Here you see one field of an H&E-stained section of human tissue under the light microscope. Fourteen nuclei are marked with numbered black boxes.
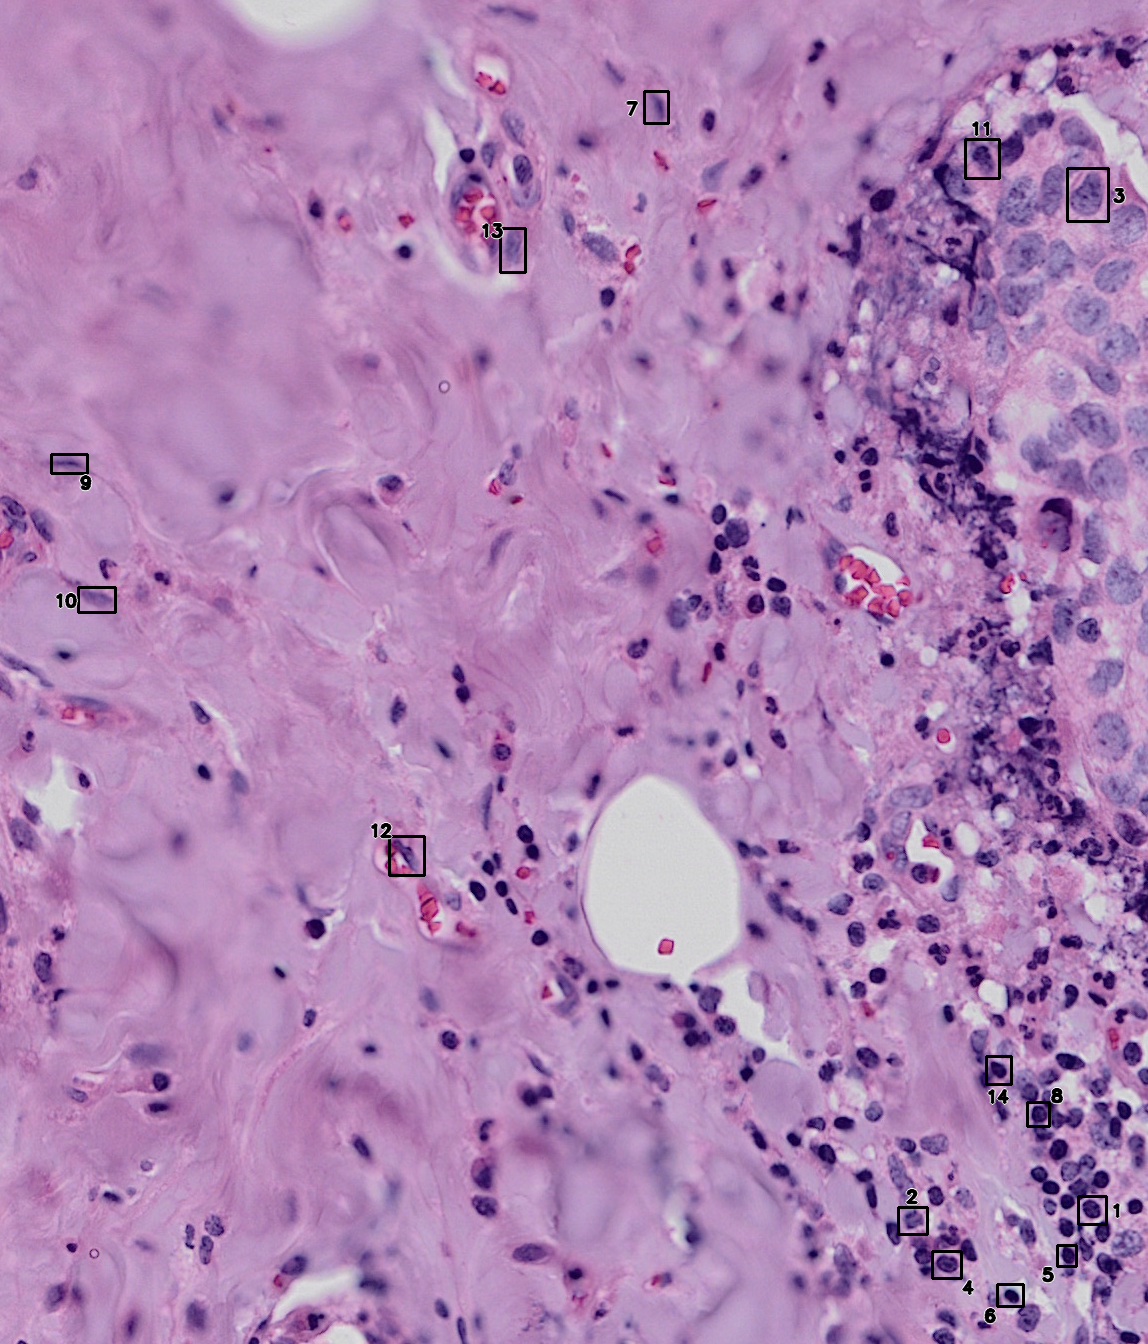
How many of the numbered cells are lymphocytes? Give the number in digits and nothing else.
7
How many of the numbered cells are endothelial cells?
2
